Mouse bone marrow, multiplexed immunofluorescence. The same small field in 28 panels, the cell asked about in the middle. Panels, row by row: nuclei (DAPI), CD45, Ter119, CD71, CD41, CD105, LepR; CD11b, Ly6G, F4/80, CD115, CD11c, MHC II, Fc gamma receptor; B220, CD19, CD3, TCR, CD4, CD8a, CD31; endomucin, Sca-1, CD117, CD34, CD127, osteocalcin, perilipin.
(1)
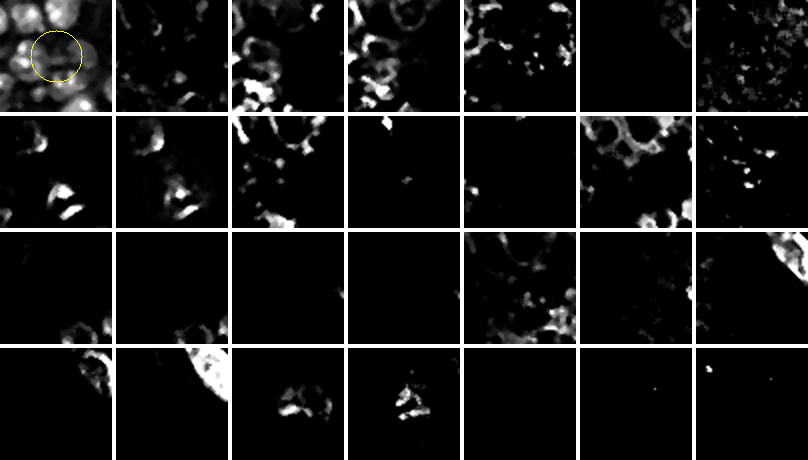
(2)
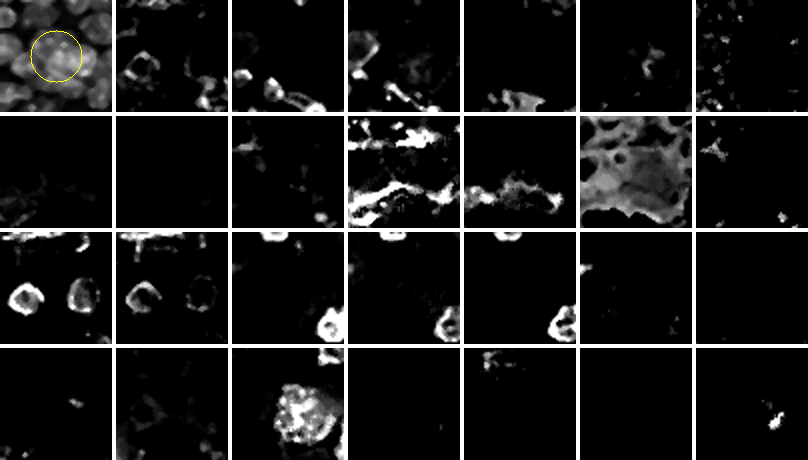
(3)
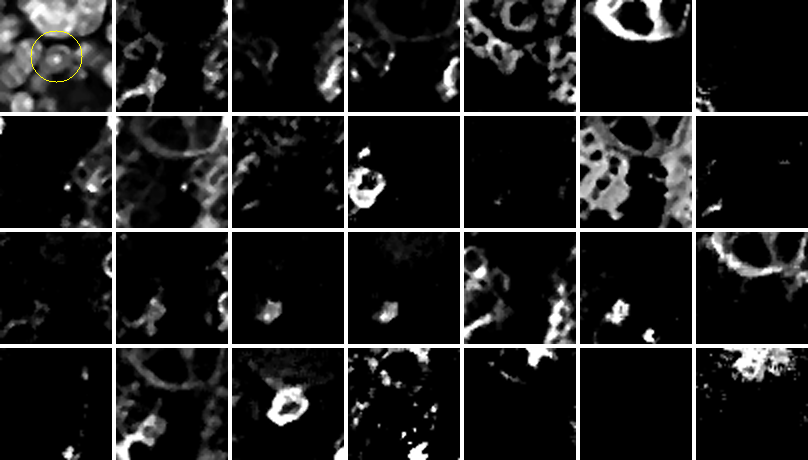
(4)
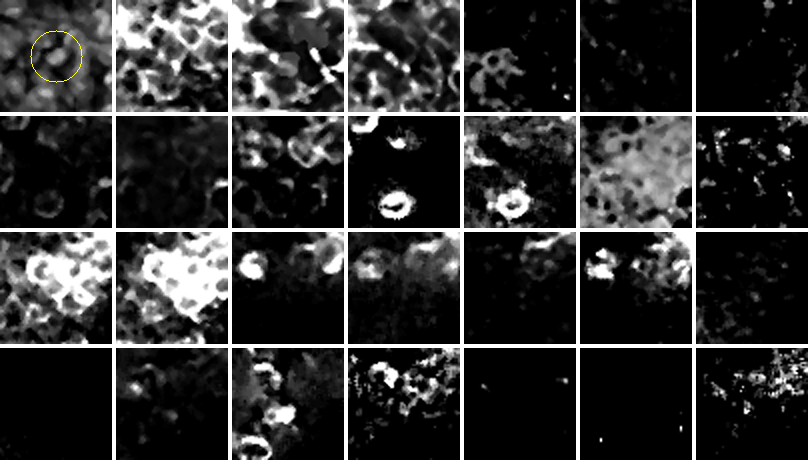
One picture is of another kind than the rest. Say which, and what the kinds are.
Picture 4 shows a B cell; the rest show megakaryocyte-erythroid progenitors.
